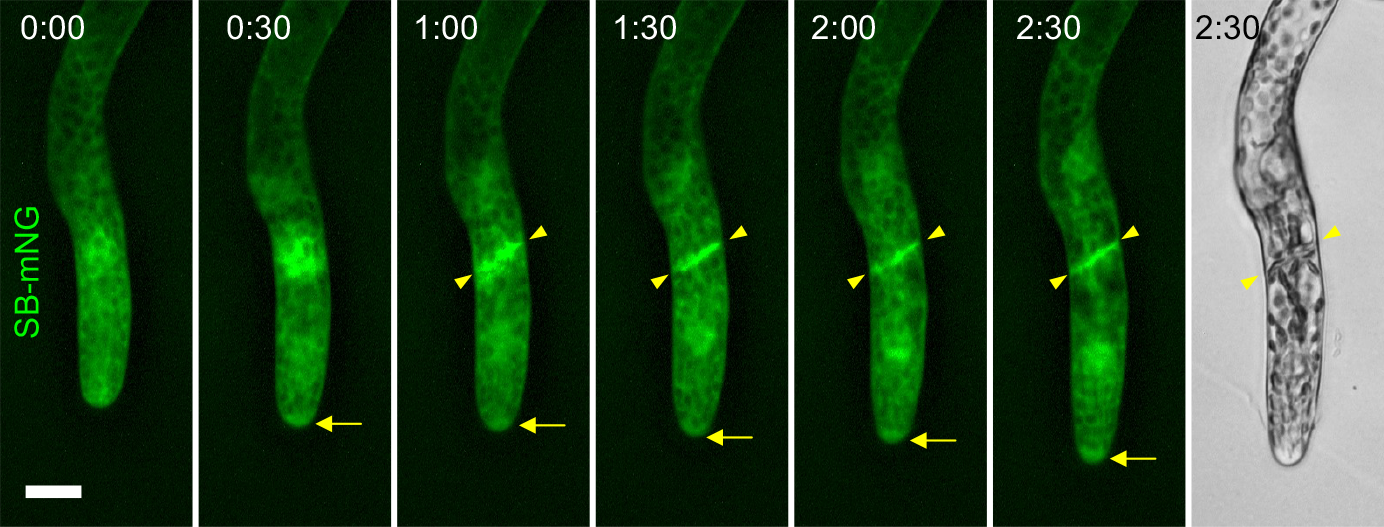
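A time series of the apical part of a protonemal filament, shown in green fluorescence and ending with a brightfield frame. A thin bright green line crosses the filament obliquely behind the rounded tip, marking a newly formed cross wall, while the tip advances over the frames. The cytoplasm shows a mottled, net-like pattern of dark rounded bodies against green background.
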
